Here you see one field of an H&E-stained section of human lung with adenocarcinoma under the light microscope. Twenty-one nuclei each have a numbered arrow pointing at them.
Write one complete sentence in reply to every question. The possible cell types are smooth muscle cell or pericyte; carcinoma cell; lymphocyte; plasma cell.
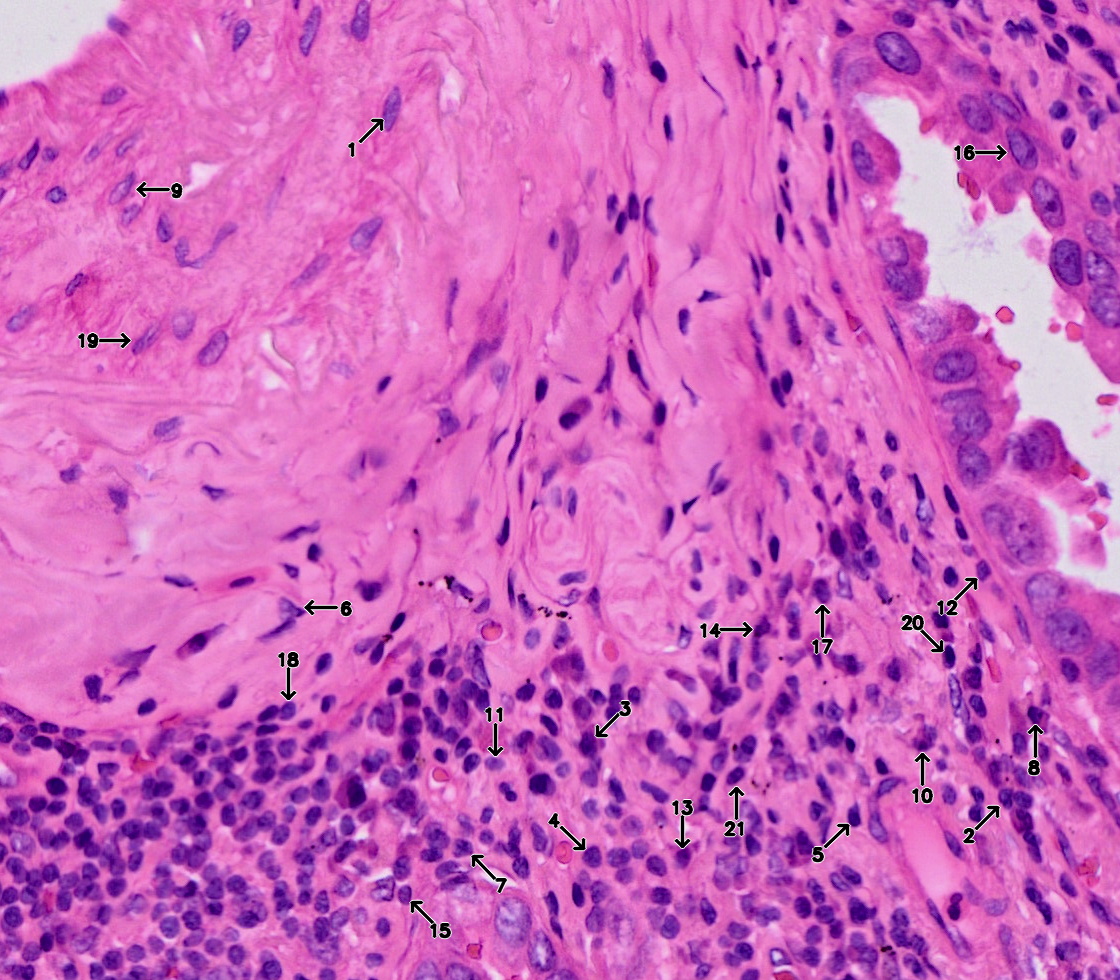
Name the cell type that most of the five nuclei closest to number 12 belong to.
Of the five nuclei nearest to number 12, most belong to lymphocytes.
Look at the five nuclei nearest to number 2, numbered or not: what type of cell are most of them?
Around number 2, most of the five nearest nuclei are those of plasma cells.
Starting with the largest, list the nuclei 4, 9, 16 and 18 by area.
The nuclei rank 16, 9, 4, 18, from largest to smallest.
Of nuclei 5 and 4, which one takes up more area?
Nucleus 4 is larger, with an area about 1.5 times that of nucleus 5.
